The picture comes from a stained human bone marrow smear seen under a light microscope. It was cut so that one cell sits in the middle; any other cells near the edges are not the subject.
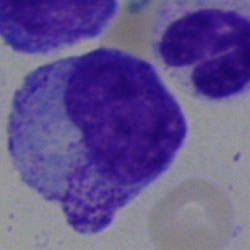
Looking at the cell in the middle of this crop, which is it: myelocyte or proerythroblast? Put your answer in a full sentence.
Looking at the middle of the crop, the cell there is a myelocyte.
